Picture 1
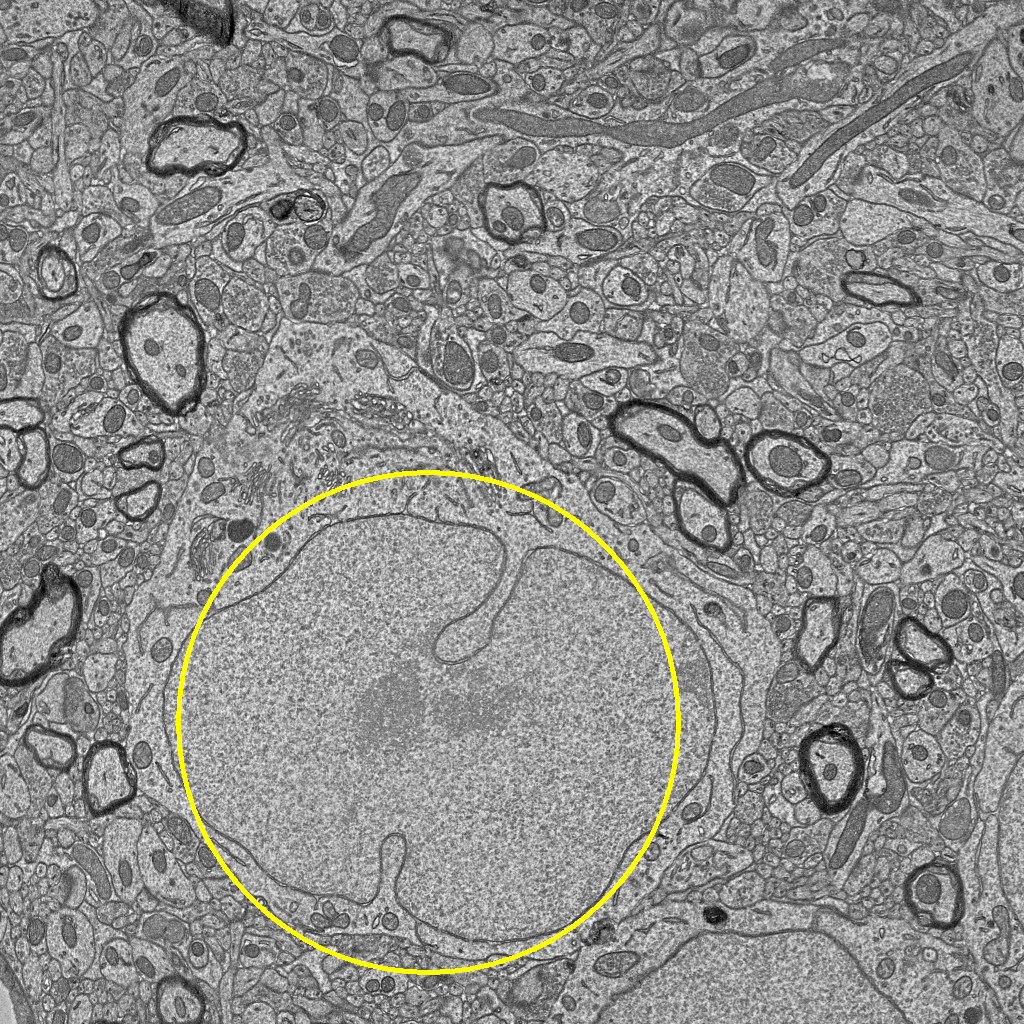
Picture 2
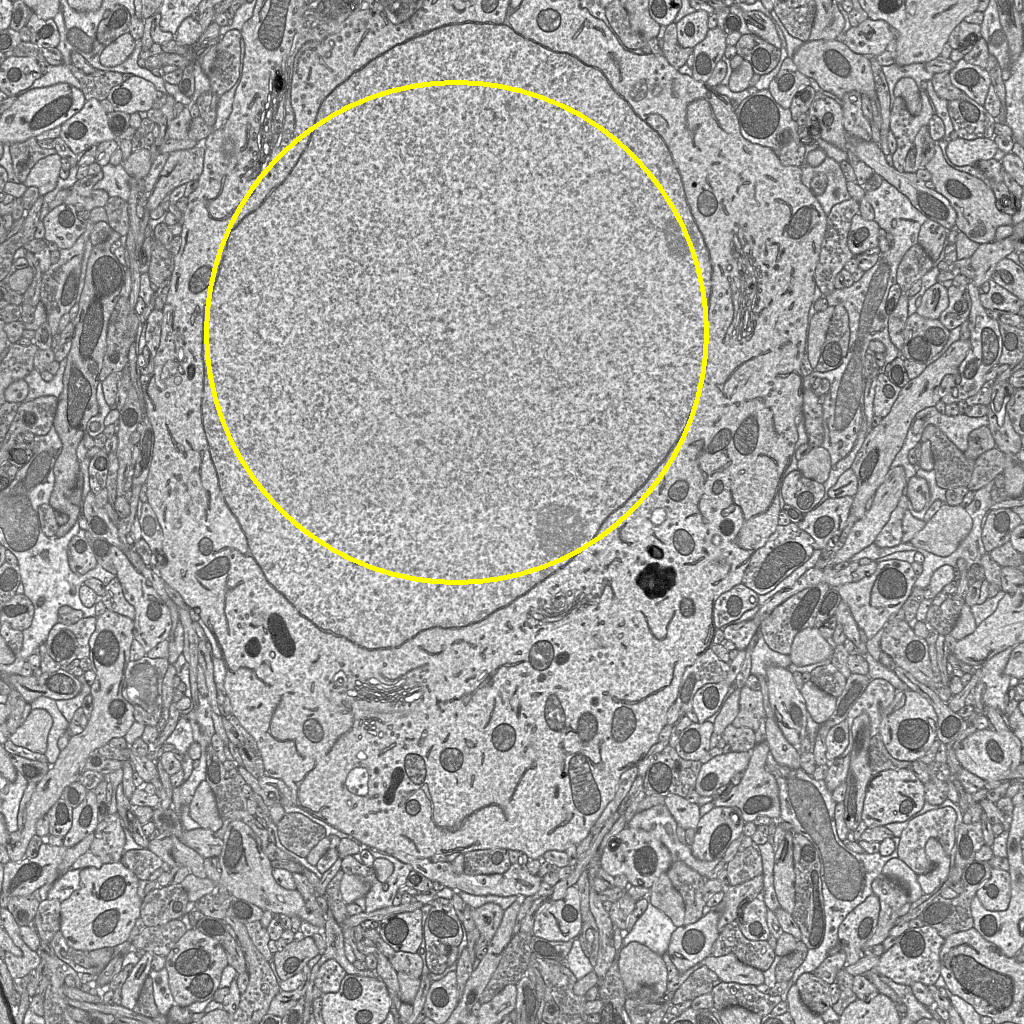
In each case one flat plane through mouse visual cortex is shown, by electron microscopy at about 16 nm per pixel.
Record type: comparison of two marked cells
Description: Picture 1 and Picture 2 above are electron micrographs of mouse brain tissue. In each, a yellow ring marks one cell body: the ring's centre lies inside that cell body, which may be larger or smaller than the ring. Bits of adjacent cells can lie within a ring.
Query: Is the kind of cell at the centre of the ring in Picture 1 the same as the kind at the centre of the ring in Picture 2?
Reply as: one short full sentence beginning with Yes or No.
Yes, the two cells at the ring centres are of the same kind.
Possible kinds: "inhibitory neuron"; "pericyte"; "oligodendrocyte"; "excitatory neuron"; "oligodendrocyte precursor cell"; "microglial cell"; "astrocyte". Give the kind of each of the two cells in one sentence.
The cell in the first picture is an excitatory neuron, and so is the one in the second.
